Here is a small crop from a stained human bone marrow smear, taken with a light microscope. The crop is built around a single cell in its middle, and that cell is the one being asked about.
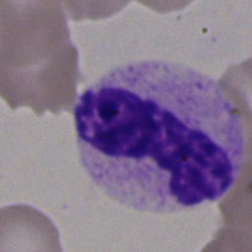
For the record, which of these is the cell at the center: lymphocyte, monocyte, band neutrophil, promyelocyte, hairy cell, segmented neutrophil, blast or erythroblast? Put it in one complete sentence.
The cell in the middle of the field of view is a band neutrophil.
